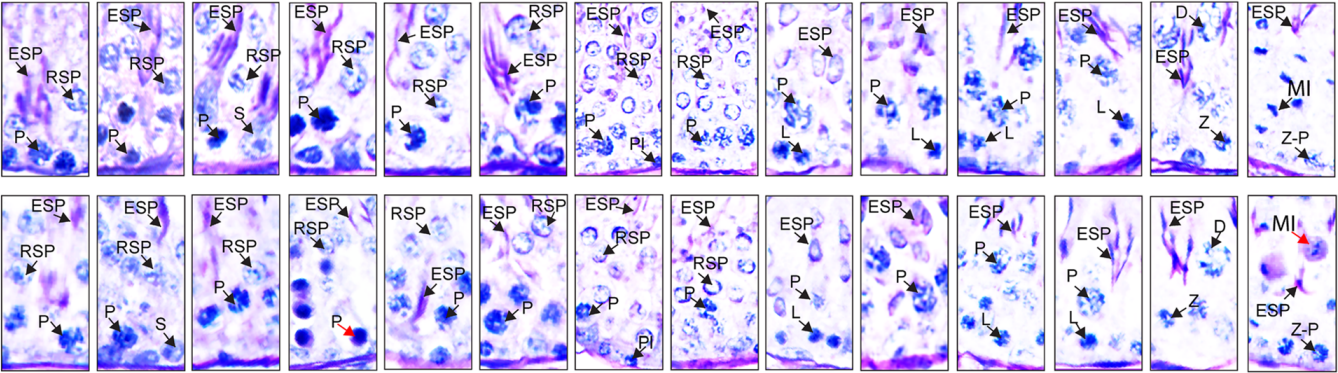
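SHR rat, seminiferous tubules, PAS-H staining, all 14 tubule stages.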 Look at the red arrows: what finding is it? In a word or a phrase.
Degenerated cells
